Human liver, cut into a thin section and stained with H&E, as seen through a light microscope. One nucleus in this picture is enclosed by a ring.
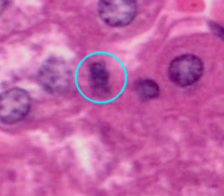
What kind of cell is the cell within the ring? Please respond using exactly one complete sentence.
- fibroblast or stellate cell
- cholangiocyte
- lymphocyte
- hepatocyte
In the stained section, the cell within the ring is a fibroblast or stellate cell.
